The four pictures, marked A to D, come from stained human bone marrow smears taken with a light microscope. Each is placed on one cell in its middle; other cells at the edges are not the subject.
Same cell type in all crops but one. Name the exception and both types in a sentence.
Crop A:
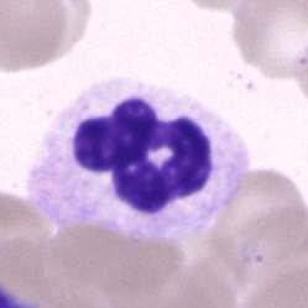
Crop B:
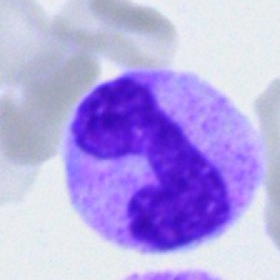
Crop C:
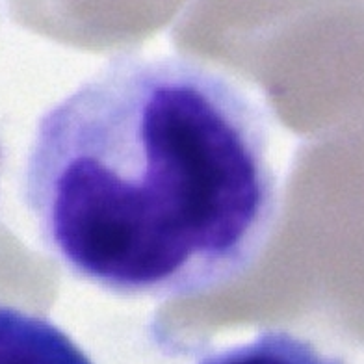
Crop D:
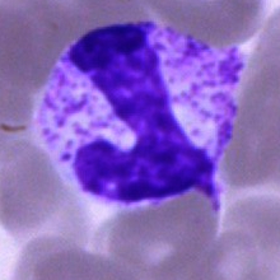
Of the crops, all show band neutrophils save crop A, which shows a segmented neutrophil.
